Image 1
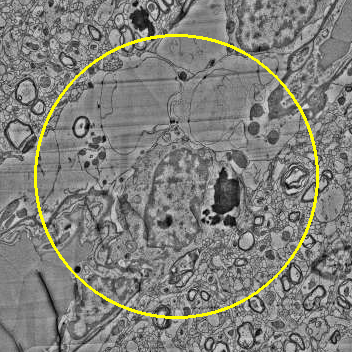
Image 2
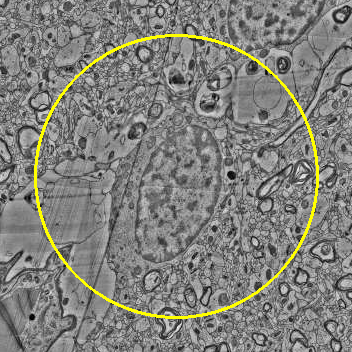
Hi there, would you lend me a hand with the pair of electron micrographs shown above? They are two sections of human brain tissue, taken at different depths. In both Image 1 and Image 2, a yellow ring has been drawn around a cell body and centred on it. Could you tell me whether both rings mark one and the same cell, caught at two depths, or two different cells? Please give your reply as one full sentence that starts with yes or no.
Yes, one cell is ringed in yellow twice over.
